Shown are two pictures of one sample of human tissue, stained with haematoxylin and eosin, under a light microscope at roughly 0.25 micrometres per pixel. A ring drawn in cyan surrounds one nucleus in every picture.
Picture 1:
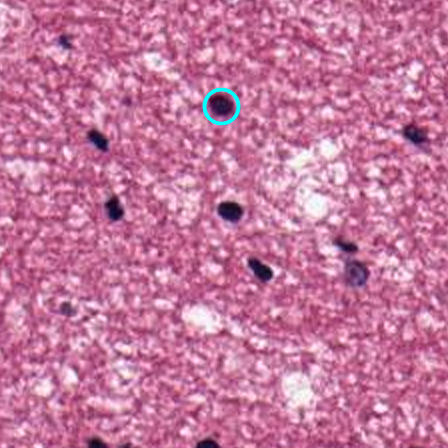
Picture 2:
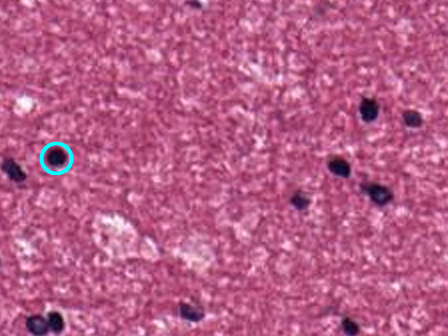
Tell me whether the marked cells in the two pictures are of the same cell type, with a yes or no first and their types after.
Yes, both are oligodendrocytes.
